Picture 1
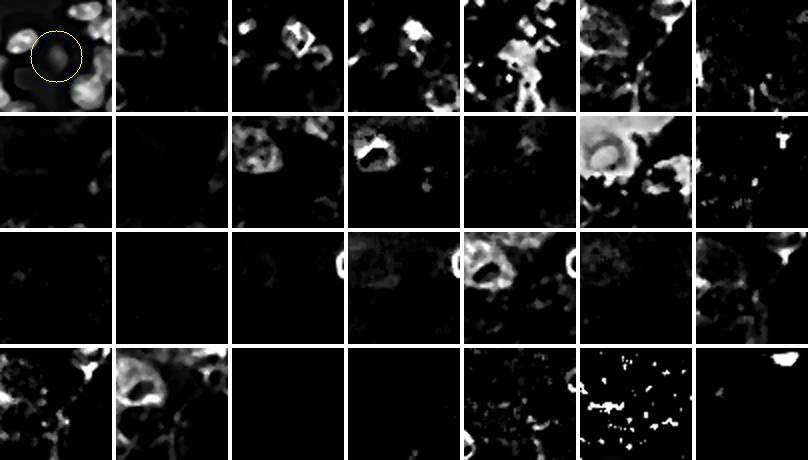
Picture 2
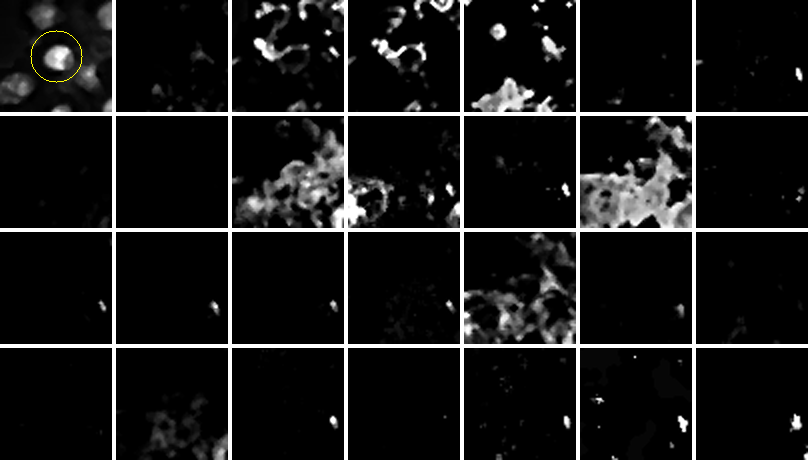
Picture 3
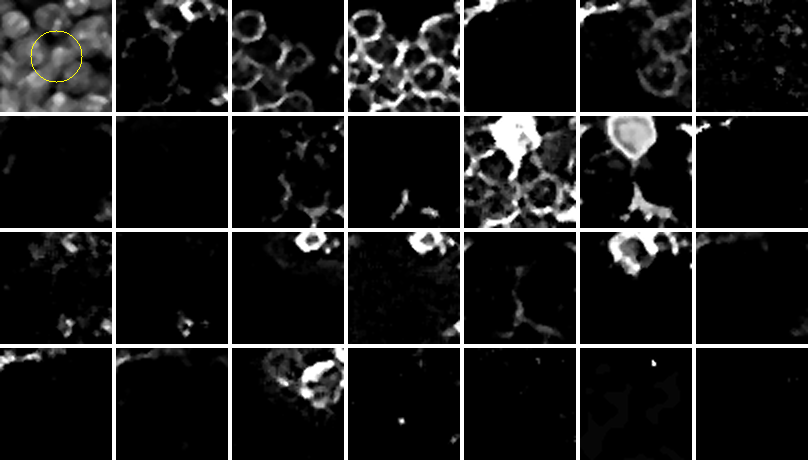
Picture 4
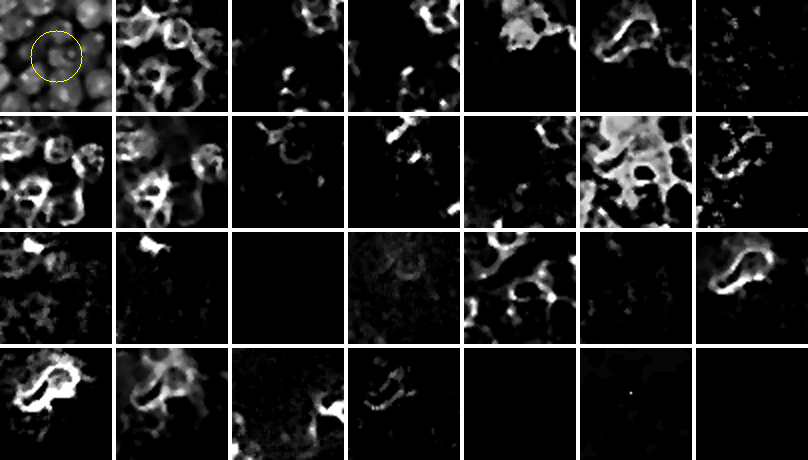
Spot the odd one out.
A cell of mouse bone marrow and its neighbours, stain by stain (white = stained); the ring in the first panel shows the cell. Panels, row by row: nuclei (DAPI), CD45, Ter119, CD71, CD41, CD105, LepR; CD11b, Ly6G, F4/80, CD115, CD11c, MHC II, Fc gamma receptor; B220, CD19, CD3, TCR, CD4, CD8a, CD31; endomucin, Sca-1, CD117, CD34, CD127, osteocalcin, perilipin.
Picture 4 (a capillary endothelial cell among erythroblasts).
